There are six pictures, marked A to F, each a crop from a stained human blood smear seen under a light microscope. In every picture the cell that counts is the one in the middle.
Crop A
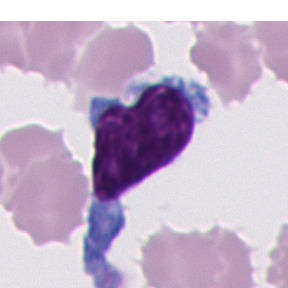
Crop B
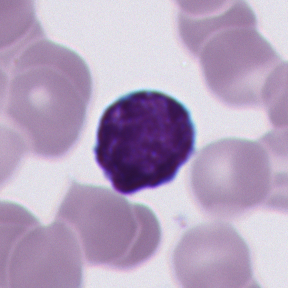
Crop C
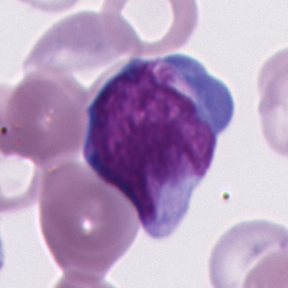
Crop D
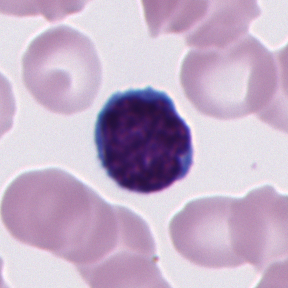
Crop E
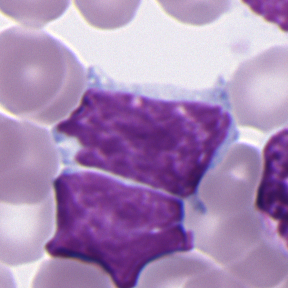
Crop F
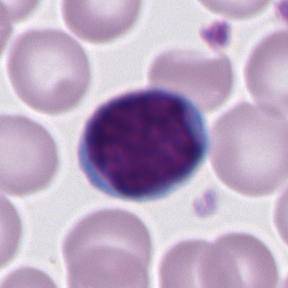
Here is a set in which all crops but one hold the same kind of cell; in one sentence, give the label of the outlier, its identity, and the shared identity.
A different cell type, a myeloblast, occupies crop C; the other crops show typical lymphocytes.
